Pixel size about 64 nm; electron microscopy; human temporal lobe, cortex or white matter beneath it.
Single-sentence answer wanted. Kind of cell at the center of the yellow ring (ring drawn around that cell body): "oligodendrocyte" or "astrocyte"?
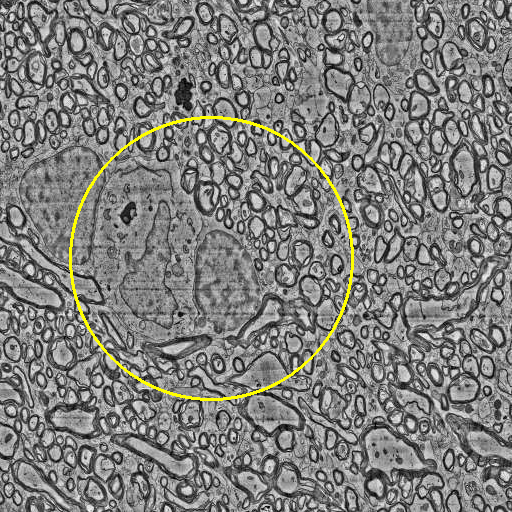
The cell centered in the ring is an oligodendrocyte.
